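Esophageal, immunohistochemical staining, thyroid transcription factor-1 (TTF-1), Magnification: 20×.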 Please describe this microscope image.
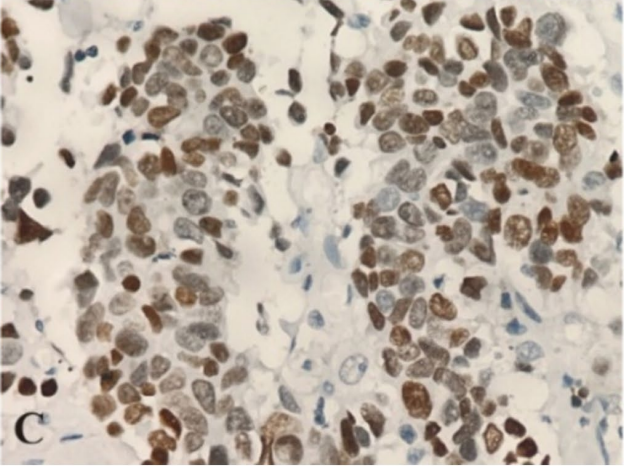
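Tumor cells of a small cell carcinoma are seen in crowded clusters separated by pale, loose stroma. Many of the oval to round nuclei are stained brown, with varying intensity from pale tan to dark brown, while others remain blue. The cells have little cytoplasm and their nuclei lie closely packed against one another. Scattered slender blue nuclei of stromal cells lie between the clusters.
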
